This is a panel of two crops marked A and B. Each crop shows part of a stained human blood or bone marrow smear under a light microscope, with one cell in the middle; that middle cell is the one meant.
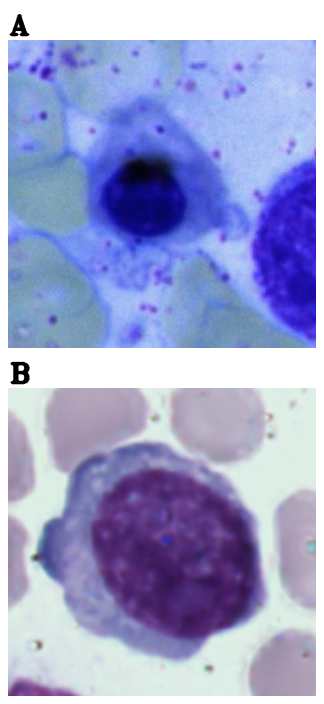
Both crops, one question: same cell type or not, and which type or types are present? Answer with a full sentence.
No, an erythroblast is shown in crop A and a plasma cell in crop B.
